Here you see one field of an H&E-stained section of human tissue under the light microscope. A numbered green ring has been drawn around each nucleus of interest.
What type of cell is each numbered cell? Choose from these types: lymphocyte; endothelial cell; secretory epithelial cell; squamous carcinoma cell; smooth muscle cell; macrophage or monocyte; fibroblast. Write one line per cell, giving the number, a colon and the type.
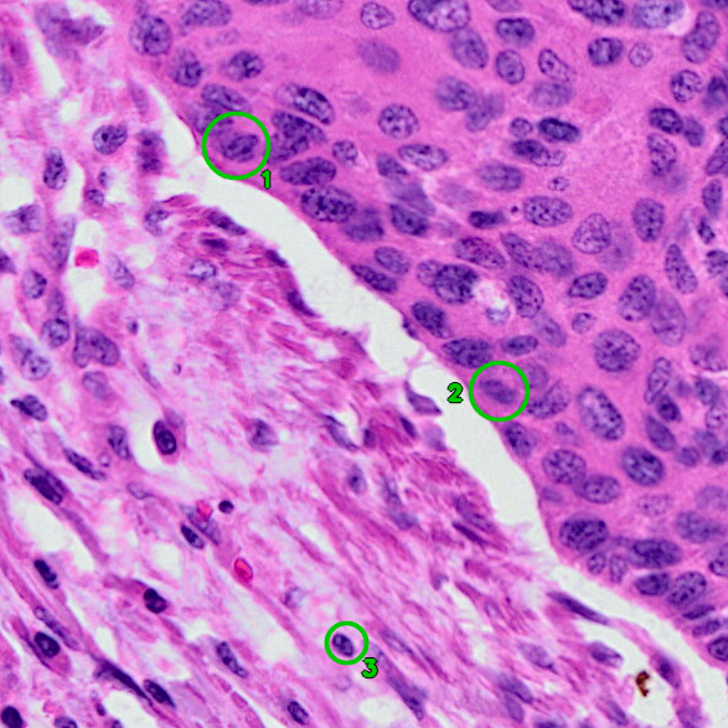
1: squamous carcinoma cell
2: squamous carcinoma cell
3: lymphocyte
